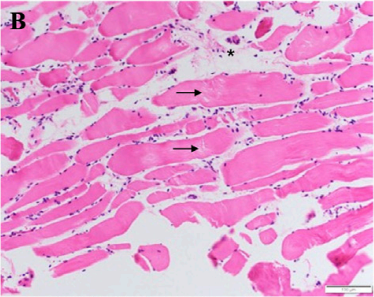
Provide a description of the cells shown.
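This is skeletal muscle in longitudinal to oblique section, with pink, eosinophilic muscle fibres and small dark flattened nuclei at their margins. The fibres are separated by wide, pale spaces containing faint, wispy material and a few scattered cells, consistent with edema between the fibres. Compared with normal muscle, where fibres lie closely packed and continuous, the tissue here is loosened, disrupted and fragmented.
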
